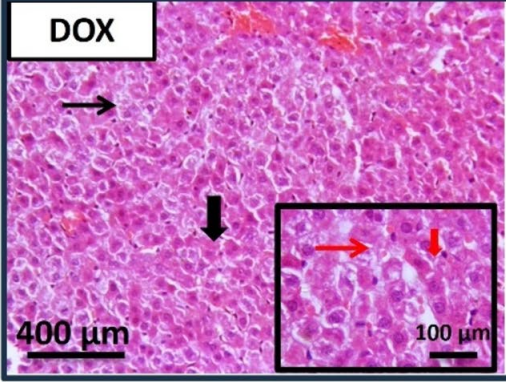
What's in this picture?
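Liver parenchyma with degenerating and swollen hepatocytes. Throughout the field the hepatocytes have pale, cleared, finely reticulated cytoplasm, and the orderly radiating plates and open sinusoids of normal liver are hard to make out, the sinusoids appearing compressed. Small patches of red blood cells lie in the upper part. In the inset, at higher power, hepatocytes are enlarged with pale cytoplasm and round nuclei, while an occasional cell shows deeper pink cytoplasm and a small, dark, condensed nucleus.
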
